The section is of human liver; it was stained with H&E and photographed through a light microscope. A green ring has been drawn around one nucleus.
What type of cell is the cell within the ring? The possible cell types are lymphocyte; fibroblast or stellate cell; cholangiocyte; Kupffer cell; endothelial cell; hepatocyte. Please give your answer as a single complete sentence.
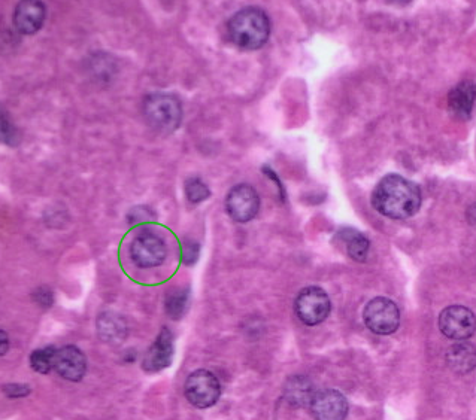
Microscopically, the cell within the ring is categorized as a hepatocyte.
